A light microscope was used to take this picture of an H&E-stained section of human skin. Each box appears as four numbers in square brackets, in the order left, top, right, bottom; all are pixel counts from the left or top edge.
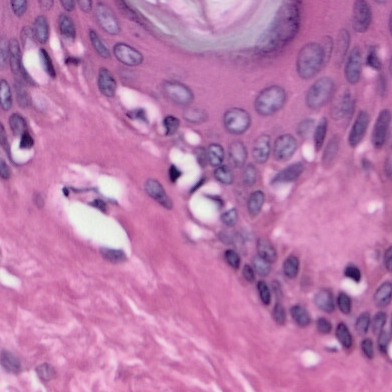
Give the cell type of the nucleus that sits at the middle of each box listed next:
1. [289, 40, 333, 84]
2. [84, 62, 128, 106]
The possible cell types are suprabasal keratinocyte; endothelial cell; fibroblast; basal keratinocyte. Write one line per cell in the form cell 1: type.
cell 1: suprabasal keratinocyte
cell 2: basal keratinocyte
